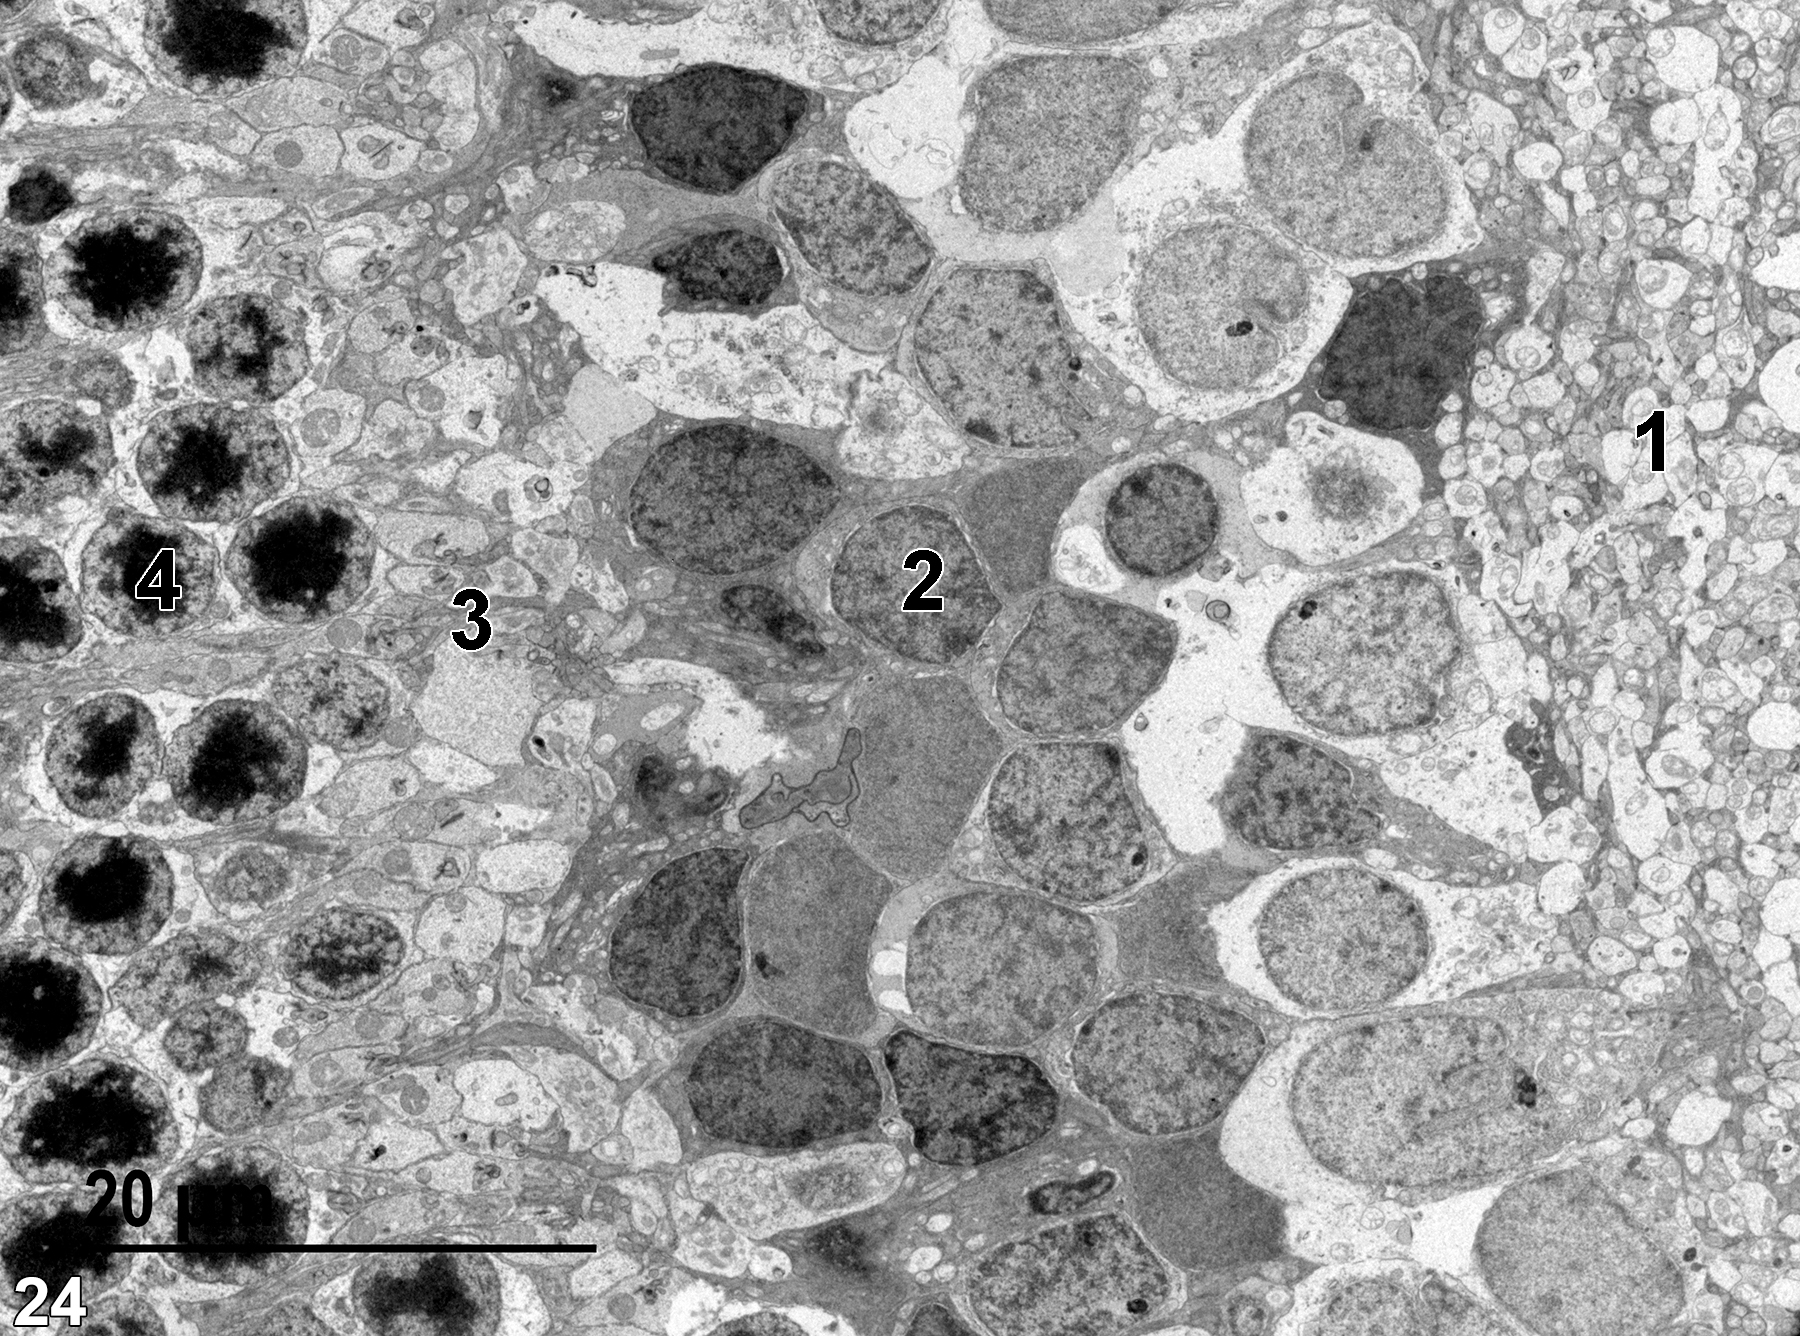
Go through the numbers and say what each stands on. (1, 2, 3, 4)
1: inner plexiform layer
2: inner nuclear layer
3: outer plexiform layer
4: outer nuclear layer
